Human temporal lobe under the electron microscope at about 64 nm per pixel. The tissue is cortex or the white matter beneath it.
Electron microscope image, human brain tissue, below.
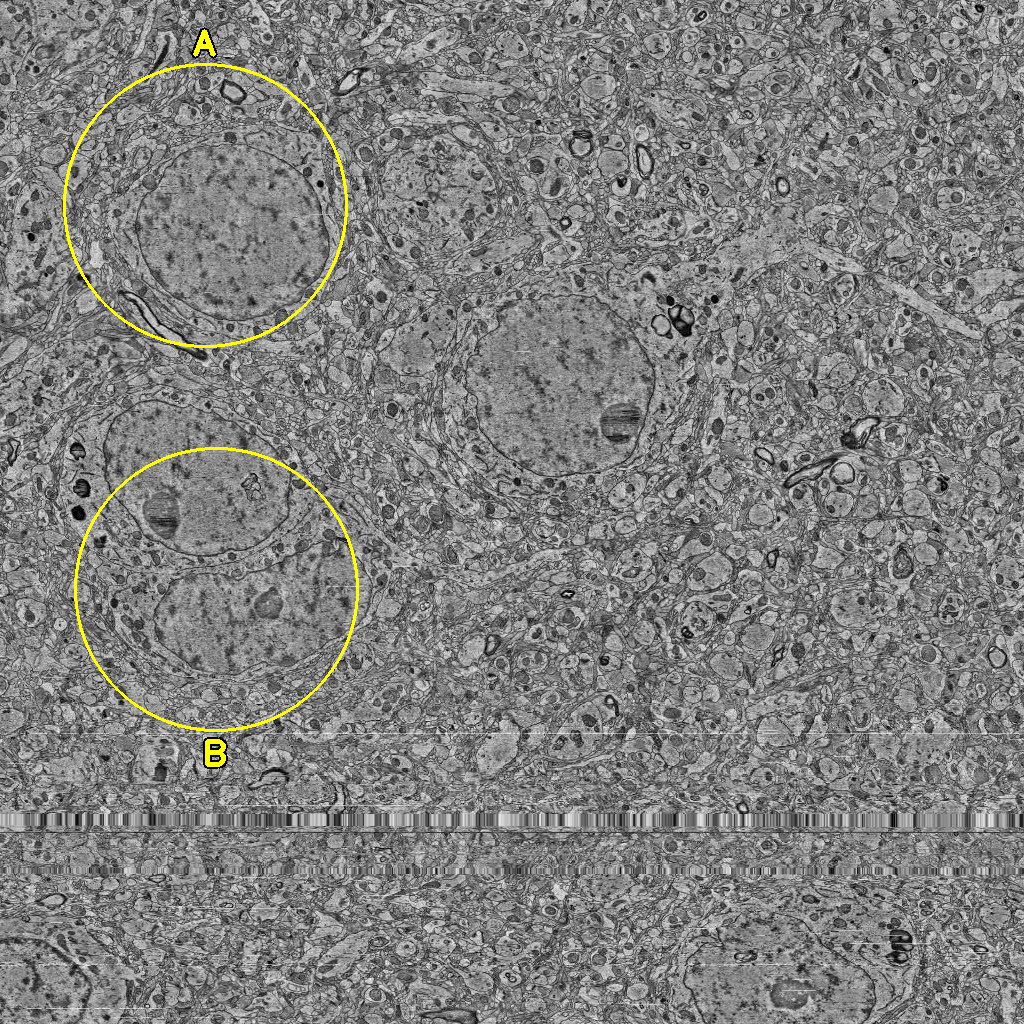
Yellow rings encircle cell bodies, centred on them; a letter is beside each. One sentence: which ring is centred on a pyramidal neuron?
It is ring A.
